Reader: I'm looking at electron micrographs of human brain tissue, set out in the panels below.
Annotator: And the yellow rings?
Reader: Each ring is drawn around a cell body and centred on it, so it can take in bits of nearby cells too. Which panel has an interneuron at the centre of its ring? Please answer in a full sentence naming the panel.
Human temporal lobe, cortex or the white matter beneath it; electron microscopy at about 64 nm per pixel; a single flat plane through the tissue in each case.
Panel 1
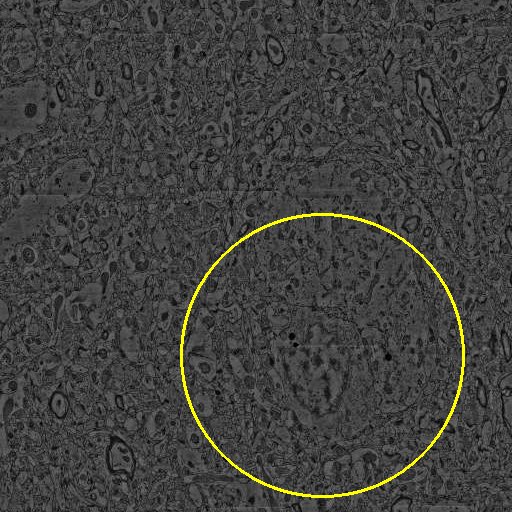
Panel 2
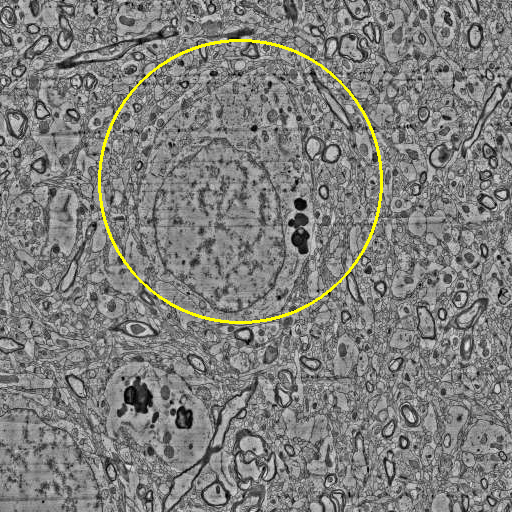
Panel 1 has it at the centre of its ring.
